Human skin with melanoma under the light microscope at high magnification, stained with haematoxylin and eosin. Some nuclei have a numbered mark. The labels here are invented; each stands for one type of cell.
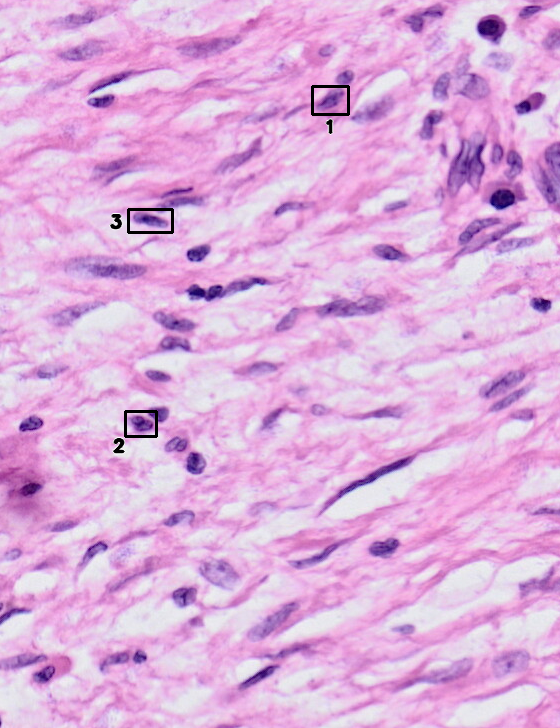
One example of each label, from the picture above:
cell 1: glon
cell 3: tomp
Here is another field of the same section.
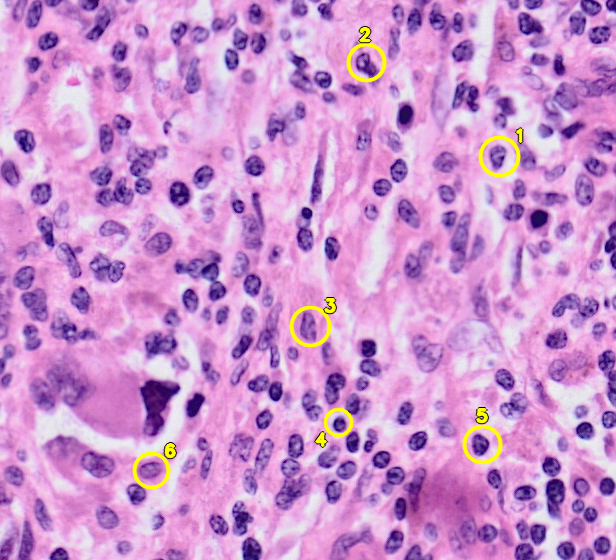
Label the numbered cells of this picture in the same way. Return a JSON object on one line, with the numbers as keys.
{"1": "tomp", "2": "tomp", "3": "glon", "4": "tomp", "5": "tomp", "6": "glon"}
